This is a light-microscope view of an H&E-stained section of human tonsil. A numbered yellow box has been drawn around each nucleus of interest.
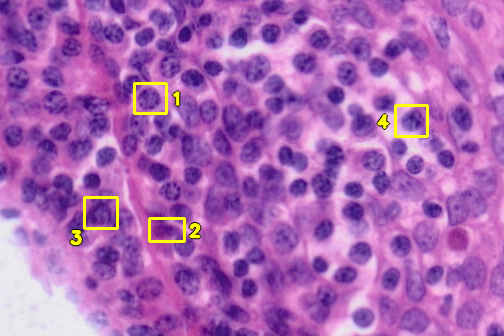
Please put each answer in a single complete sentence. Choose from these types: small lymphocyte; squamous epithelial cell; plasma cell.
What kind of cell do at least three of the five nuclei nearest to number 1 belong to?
Around number 1, most of the five nearest nuclei are those of squamous epithelial cells.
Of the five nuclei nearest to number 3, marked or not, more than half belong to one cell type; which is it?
Of the five nuclei nearest to number 3, most belong to plasma cells.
